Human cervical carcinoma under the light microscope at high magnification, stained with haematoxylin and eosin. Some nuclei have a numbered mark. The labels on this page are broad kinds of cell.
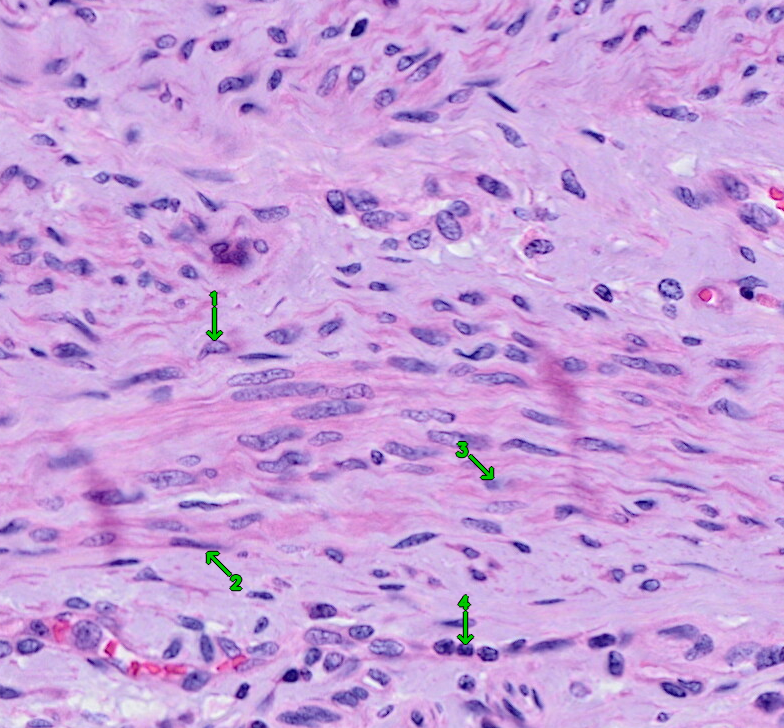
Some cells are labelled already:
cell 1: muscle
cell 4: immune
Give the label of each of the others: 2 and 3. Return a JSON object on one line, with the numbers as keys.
{"2": "muscle", "3": "muscle"}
